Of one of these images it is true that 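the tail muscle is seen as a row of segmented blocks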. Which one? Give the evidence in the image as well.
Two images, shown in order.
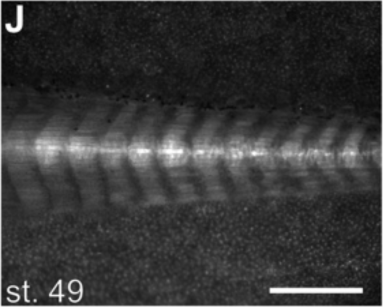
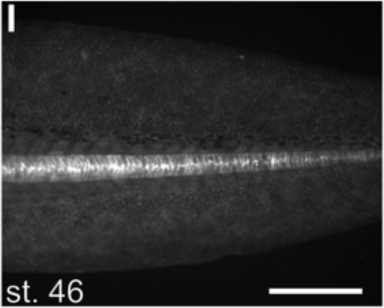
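The first image. First image: repeated chevron-shaped segments line the tail axis. Second image: only a single straight bright band, with no segments.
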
